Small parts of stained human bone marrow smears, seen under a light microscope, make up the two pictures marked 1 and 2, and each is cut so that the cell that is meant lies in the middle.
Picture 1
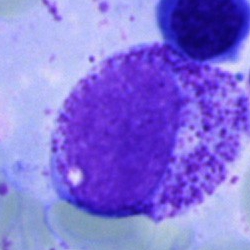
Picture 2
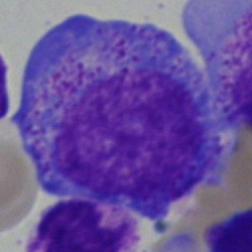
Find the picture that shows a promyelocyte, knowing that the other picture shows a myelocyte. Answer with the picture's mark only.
2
